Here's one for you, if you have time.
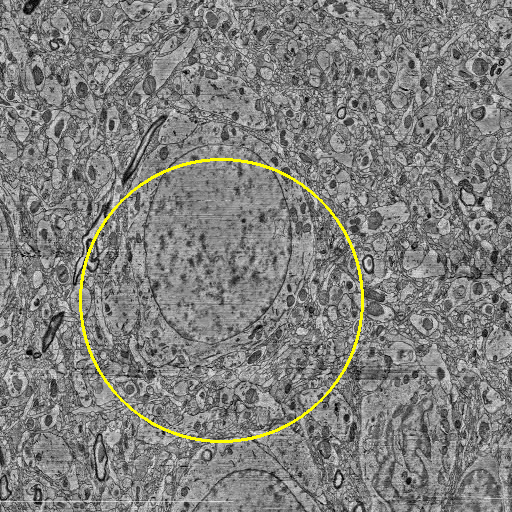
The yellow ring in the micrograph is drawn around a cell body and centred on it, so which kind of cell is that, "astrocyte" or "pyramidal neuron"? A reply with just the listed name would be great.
pyramidal neuron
